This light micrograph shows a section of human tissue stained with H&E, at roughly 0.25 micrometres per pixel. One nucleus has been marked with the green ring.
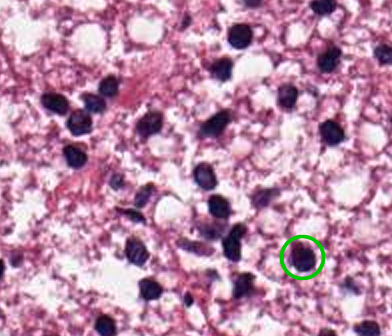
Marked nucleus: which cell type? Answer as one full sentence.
Here the marked nucleus belongs to an adrenal cortical cell.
